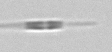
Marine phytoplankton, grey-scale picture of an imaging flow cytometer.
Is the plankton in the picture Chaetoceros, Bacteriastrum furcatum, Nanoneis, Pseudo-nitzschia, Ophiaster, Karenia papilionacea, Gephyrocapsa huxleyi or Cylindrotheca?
It is Cylindrotheca.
